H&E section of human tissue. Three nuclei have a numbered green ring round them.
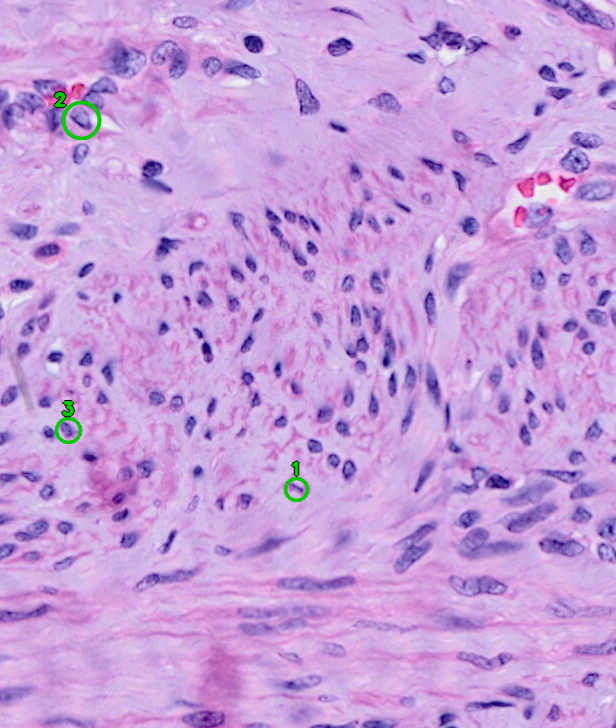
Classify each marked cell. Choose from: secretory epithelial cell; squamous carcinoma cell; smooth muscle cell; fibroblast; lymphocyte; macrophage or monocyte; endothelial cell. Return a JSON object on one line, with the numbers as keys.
{"1": "smooth muscle cell", "2": "endothelial cell", "3": "smooth muscle cell"}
